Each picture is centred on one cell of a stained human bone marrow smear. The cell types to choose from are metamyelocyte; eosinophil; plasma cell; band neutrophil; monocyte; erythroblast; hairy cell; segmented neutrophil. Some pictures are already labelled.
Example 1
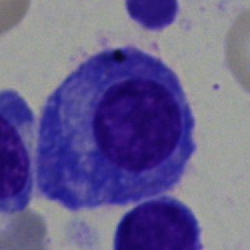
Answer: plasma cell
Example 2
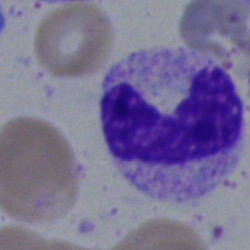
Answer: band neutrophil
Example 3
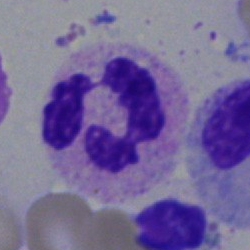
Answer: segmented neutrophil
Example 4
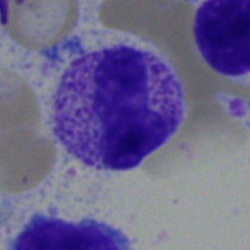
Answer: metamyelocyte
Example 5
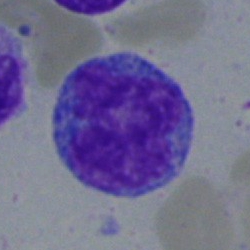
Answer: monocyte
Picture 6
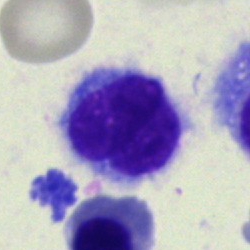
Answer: hairy cell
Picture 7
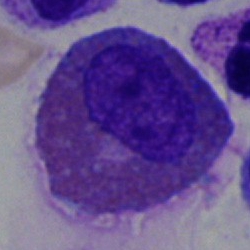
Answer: eosinophil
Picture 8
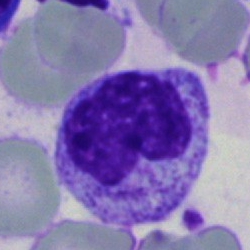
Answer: metamyelocyte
